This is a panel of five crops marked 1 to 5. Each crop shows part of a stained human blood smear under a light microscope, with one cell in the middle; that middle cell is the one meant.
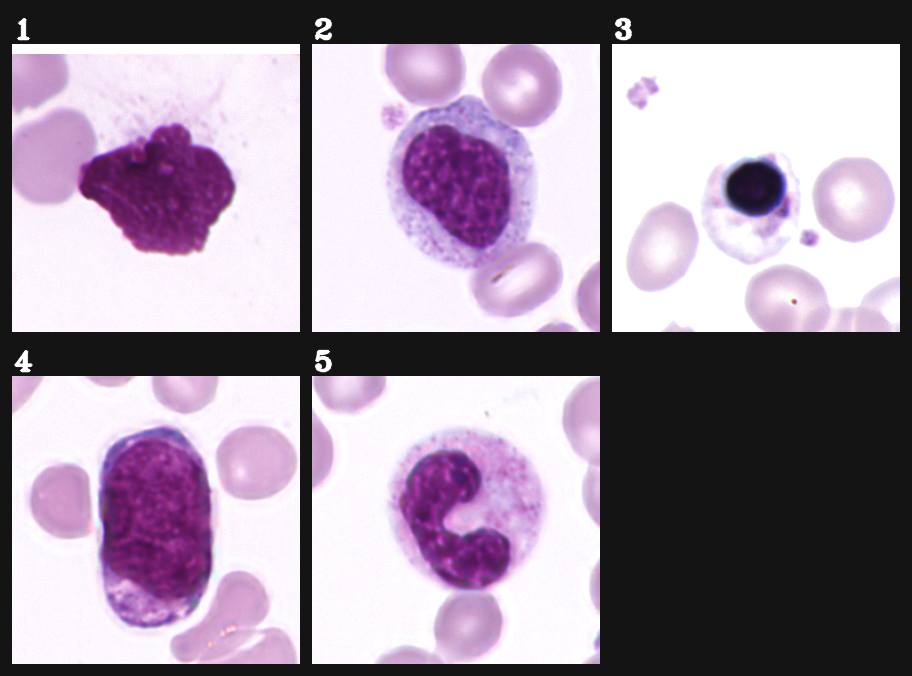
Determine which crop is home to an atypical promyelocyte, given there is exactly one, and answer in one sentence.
Crop 4 is the crop that shows an atypical promyelocyte in its middle.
